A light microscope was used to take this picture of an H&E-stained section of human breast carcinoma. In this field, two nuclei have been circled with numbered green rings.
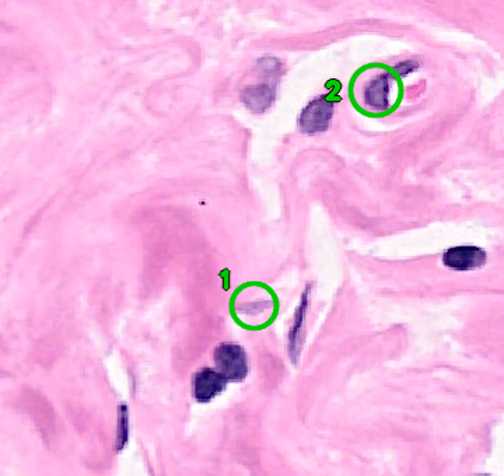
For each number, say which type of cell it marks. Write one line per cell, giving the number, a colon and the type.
1: fibroblast
2: endothelial cell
